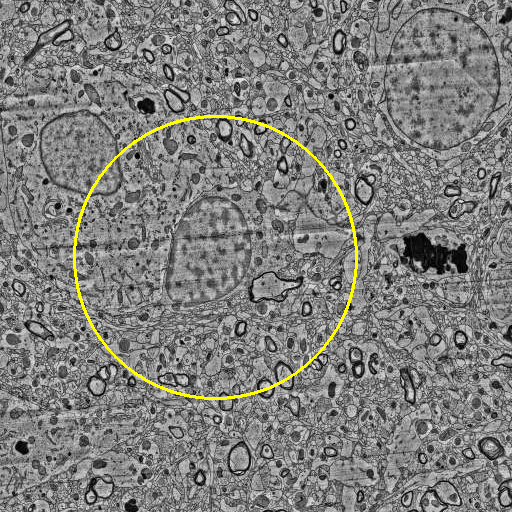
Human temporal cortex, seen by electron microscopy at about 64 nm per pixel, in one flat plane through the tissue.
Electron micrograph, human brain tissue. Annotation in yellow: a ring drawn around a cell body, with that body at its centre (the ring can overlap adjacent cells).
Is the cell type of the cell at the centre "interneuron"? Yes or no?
No, it is of another type.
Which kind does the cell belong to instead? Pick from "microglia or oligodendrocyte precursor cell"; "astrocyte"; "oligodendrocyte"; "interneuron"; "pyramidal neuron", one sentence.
Sitting at the ring centre is an oligodendrocyte.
